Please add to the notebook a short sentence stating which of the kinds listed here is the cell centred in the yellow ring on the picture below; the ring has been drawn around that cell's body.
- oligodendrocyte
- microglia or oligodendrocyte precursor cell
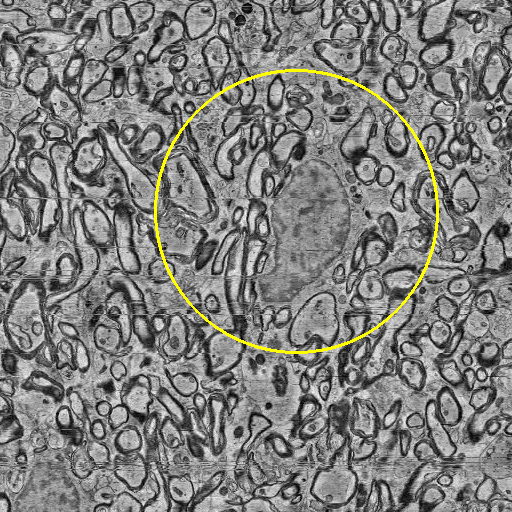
The cell centred in the yellow ring is an oligodendrocyte.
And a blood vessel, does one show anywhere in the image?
No.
